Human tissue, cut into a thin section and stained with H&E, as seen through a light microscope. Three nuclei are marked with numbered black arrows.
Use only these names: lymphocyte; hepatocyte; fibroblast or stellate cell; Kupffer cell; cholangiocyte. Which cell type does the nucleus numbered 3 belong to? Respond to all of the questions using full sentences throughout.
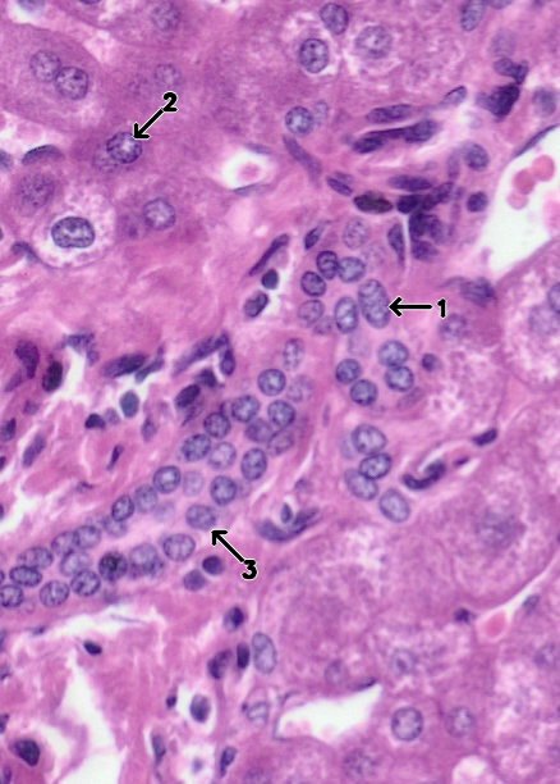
The cell referred to as 3 is a cholangiocyte.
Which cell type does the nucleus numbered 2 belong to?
The one numbered 2 among the marked cells is a hepatocyte.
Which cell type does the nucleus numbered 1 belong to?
The nucleus labelled 1 belongs to a cholangiocyte.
